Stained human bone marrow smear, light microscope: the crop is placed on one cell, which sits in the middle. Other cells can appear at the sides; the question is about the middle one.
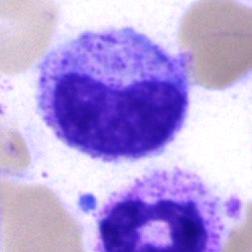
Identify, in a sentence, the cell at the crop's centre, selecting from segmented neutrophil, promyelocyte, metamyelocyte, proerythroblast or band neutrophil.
In the middle of this smear crop is a metamyelocyte.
